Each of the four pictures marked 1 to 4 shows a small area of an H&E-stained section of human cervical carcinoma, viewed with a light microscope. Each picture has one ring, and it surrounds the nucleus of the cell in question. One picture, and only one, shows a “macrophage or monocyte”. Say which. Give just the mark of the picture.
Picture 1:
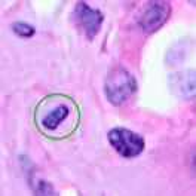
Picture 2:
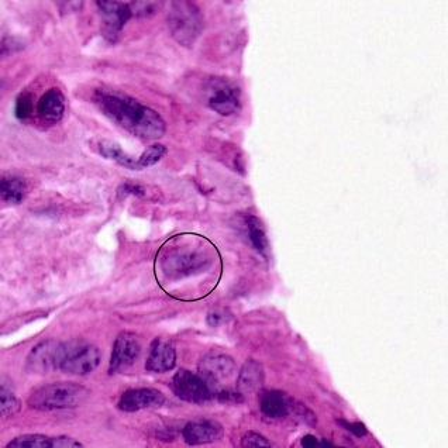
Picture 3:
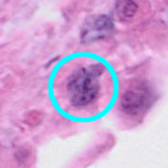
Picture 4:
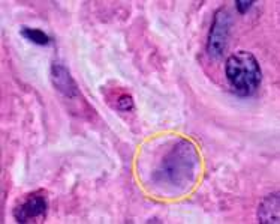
3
